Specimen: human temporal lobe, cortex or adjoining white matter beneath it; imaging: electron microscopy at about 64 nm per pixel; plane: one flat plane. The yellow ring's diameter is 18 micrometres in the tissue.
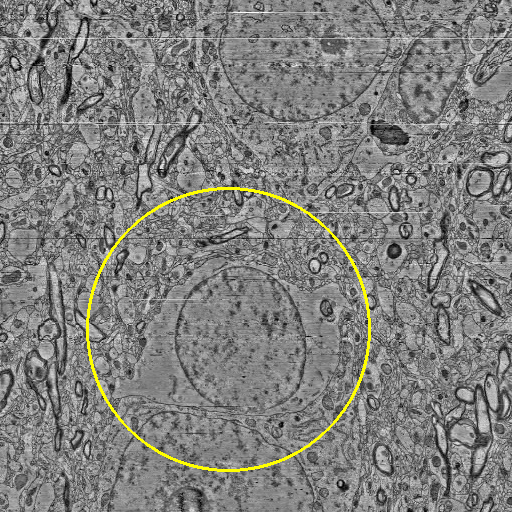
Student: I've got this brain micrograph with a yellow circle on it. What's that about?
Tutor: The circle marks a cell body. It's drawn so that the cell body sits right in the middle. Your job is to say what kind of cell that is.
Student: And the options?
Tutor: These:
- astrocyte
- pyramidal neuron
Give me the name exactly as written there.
astrocyte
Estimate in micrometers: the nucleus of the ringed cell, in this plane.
The nucleus comes to roughly 10 by 8 micrometres in this plane.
